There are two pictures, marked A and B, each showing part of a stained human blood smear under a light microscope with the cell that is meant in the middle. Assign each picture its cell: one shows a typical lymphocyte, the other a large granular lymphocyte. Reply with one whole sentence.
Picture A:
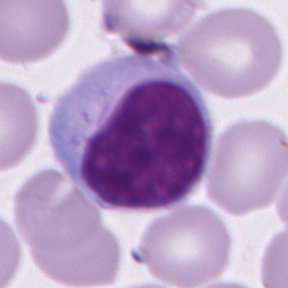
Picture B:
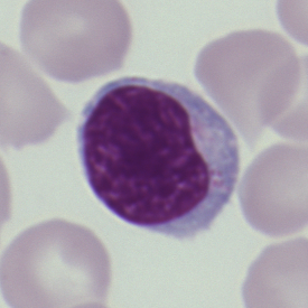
Picture B shows a typical lymphocyte, while picture A shows a large granular lymphocyte.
